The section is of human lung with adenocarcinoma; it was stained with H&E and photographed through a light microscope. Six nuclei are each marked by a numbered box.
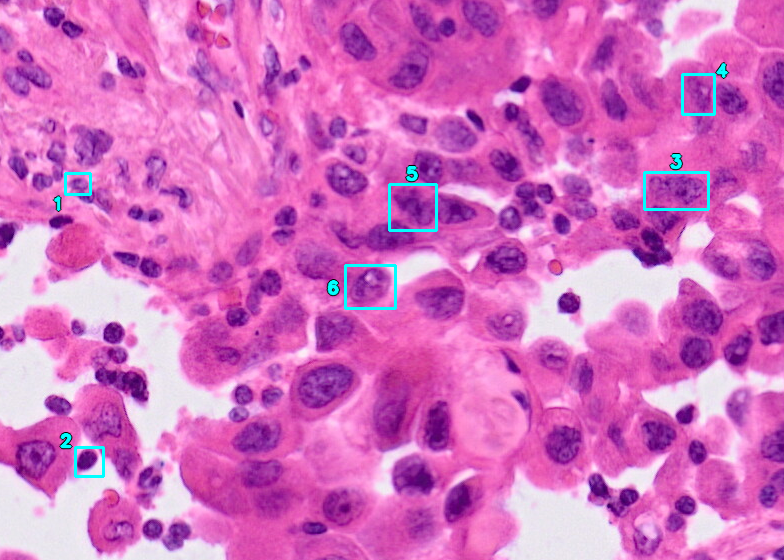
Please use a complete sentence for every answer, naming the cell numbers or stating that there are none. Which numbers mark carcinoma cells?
The cells numbered 3, 4, 5 and 6 are of one kind: carcinoma cells.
